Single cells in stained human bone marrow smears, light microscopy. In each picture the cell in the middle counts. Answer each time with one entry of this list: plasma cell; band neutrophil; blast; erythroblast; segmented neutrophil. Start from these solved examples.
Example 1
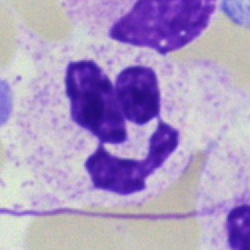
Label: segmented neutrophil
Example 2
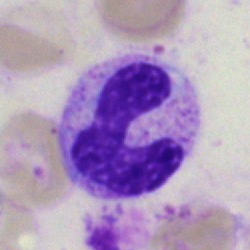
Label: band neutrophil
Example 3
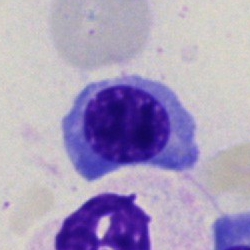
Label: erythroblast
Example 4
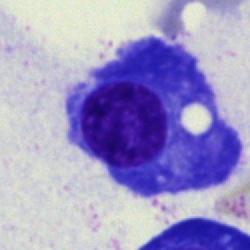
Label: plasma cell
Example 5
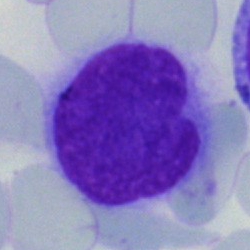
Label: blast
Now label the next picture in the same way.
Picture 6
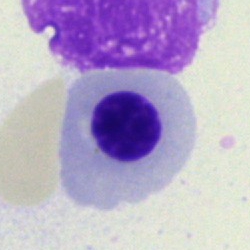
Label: erythroblast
